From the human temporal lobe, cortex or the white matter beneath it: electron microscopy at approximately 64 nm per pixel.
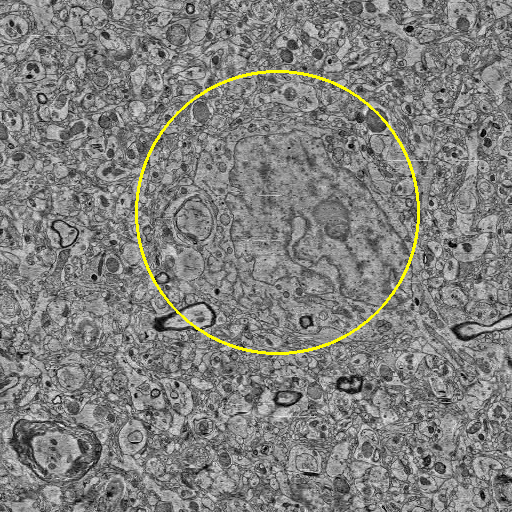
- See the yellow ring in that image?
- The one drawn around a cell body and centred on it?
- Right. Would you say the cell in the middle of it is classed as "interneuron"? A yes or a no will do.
yes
